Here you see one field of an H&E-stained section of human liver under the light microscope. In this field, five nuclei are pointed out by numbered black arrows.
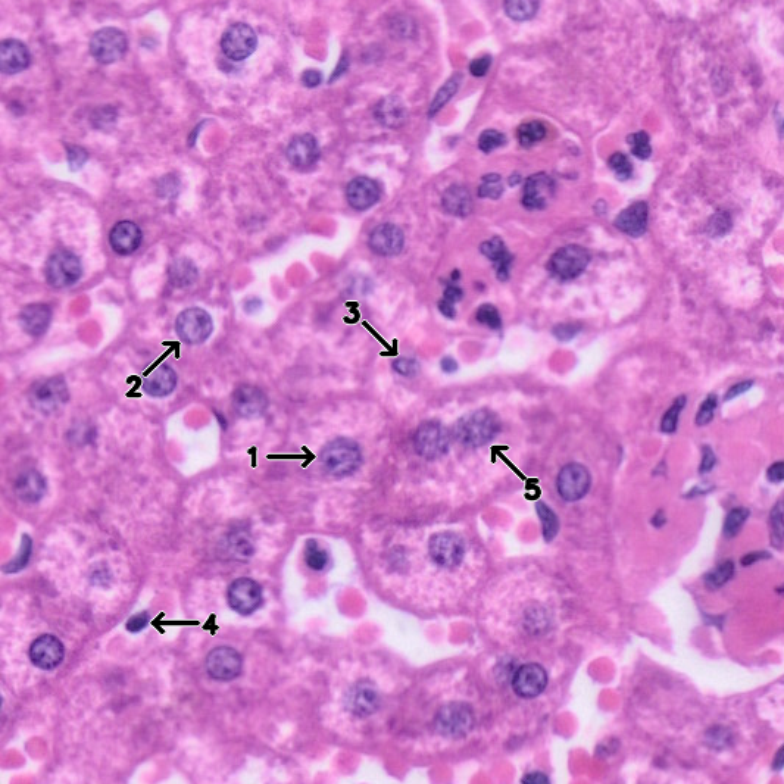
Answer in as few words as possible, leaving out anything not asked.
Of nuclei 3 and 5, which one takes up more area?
5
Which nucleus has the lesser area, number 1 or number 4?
4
